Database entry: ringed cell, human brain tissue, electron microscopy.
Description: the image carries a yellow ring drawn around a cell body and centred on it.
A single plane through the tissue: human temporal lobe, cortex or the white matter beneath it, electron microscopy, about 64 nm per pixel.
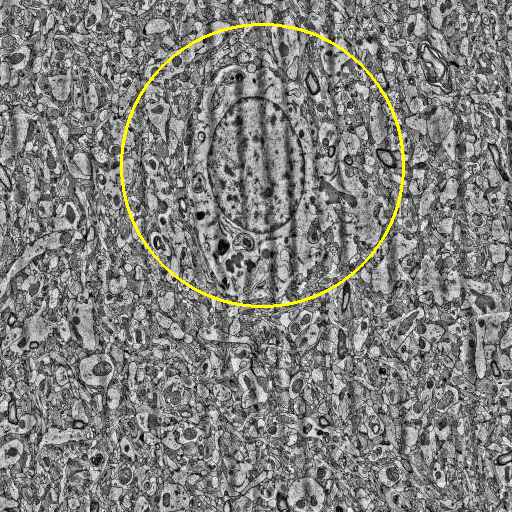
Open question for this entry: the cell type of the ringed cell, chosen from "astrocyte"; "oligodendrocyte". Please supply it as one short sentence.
The ringed cell is an astrocyte.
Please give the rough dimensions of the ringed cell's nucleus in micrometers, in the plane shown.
About 9 by 6 micrometers for the nucleus, in this plane.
